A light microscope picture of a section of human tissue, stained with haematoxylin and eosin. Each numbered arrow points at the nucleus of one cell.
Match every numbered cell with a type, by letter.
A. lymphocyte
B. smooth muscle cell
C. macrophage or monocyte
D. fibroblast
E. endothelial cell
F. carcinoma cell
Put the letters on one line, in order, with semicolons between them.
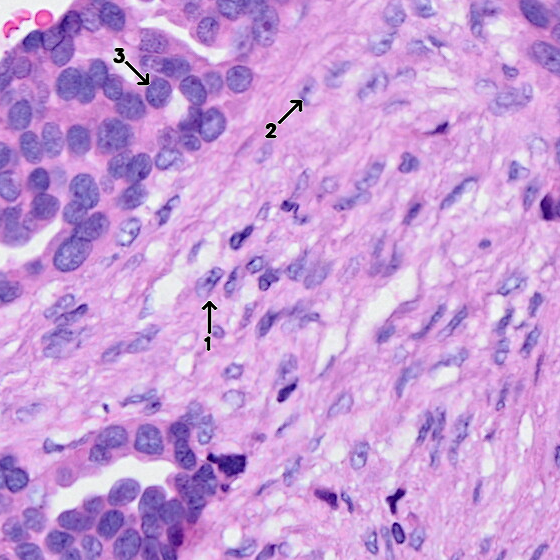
D; D; F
